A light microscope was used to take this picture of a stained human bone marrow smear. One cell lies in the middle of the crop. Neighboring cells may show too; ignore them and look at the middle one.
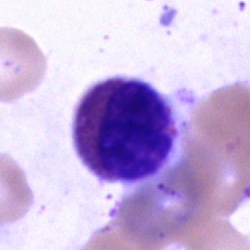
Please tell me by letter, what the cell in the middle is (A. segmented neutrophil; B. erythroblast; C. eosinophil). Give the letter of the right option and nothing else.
C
